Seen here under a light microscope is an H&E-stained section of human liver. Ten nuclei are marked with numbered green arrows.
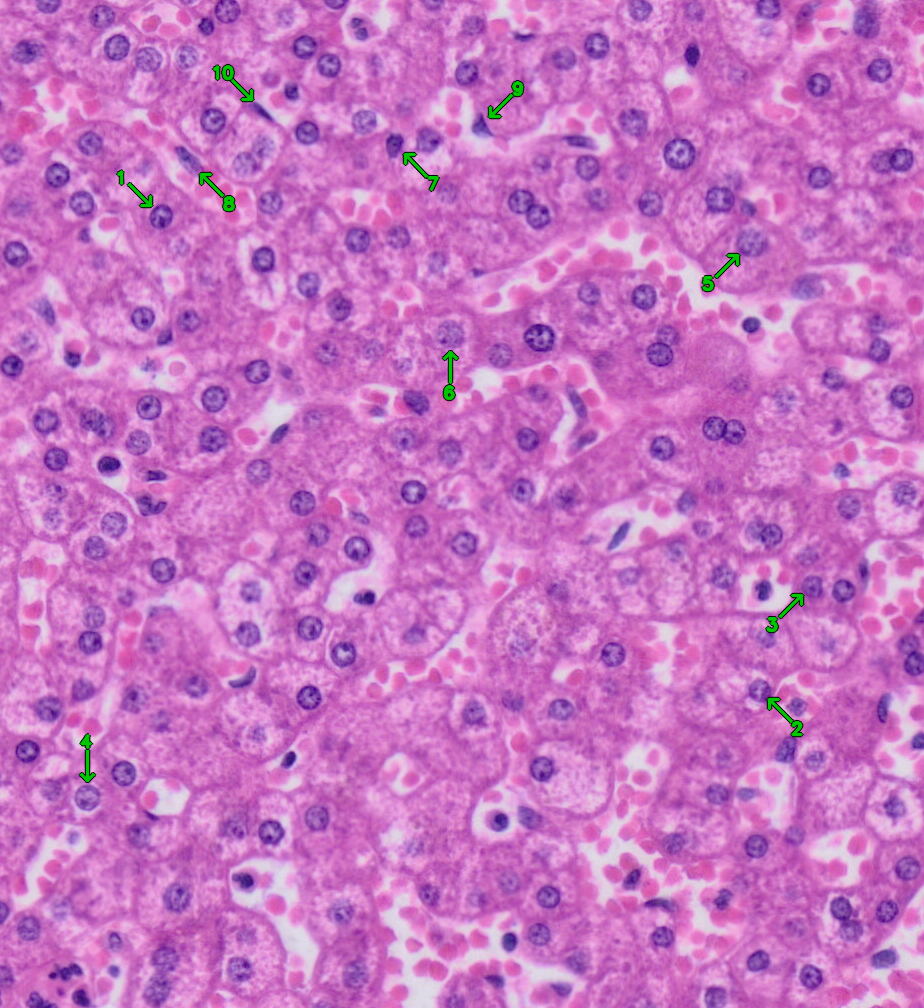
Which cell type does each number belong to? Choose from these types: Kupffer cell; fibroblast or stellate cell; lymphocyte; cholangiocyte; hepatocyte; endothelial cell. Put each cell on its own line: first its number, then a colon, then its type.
1: hepatocyte
2: hepatocyte
3: hepatocyte
4: hepatocyte
5: hepatocyte
6: hepatocyte
7: fibroblast or stellate cell
8: Kupffer cell
9: endothelial cell
10: endothelial cell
